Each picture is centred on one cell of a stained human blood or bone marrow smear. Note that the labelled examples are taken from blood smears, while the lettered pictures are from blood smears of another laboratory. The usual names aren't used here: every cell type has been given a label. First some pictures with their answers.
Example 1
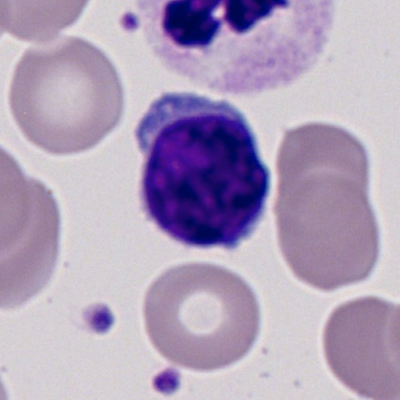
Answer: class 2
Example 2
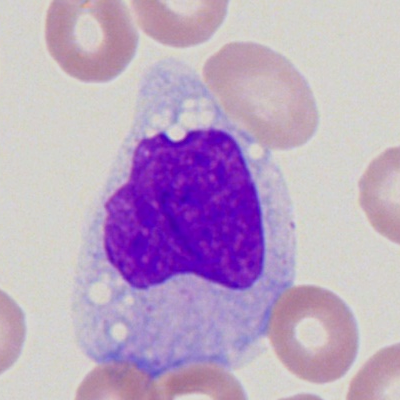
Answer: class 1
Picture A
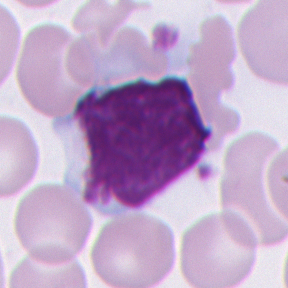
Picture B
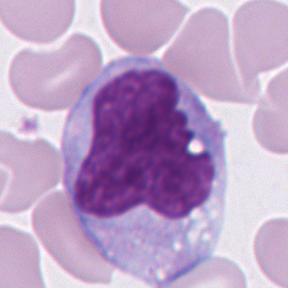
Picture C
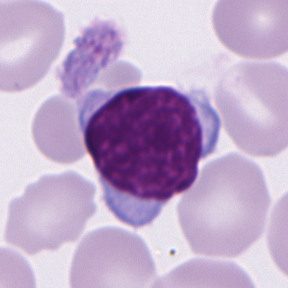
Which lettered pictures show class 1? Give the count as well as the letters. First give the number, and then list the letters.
Count: 1 (B)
